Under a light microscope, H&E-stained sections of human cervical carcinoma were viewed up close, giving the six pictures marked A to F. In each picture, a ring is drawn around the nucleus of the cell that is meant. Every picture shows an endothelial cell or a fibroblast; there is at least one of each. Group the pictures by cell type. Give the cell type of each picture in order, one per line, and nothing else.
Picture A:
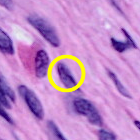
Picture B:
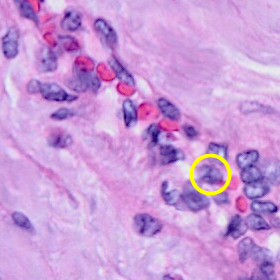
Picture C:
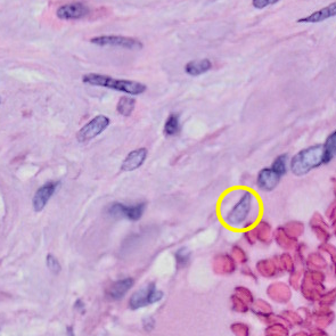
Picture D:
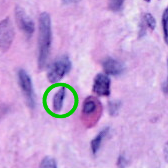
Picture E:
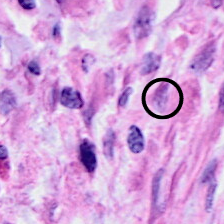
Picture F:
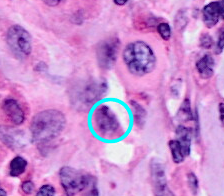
fibroblast
endothelial cell
endothelial cell
fibroblast
fibroblast
endothelial cell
